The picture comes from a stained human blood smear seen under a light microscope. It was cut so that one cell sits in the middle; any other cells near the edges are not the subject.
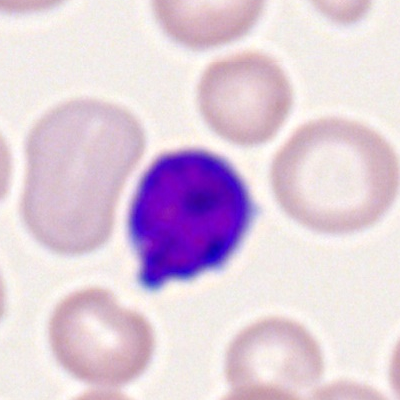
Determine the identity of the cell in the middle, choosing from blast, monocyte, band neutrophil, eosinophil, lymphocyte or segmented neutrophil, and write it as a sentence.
Standing at the centre of this crop is a lymphocyte.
